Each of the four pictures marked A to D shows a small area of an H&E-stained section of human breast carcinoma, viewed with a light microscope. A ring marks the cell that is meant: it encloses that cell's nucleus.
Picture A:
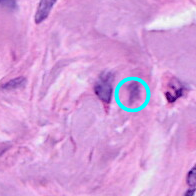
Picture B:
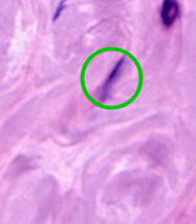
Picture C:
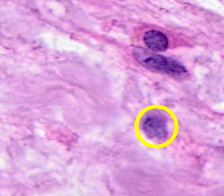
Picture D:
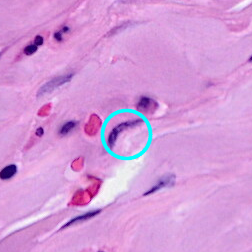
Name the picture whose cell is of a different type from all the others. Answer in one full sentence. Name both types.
Unlike the rest, which show fibroblasts, picture C shows a “macrophage, monocyte or dendritic cell”.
